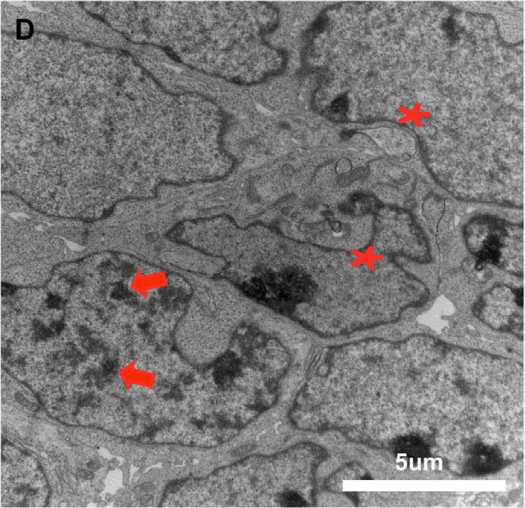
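The nuclear envelopes are folded and indented, giving the nuclei angular outlines. Narrow bands of cytoplasm and cell processes run between the nuclei.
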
